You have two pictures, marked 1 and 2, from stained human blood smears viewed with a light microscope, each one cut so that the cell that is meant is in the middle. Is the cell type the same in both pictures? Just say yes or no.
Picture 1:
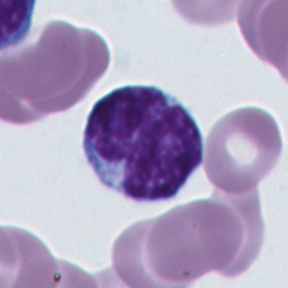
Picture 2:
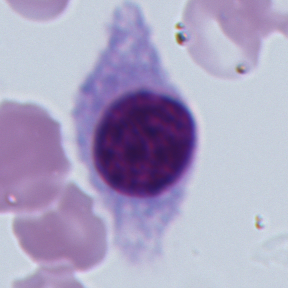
no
